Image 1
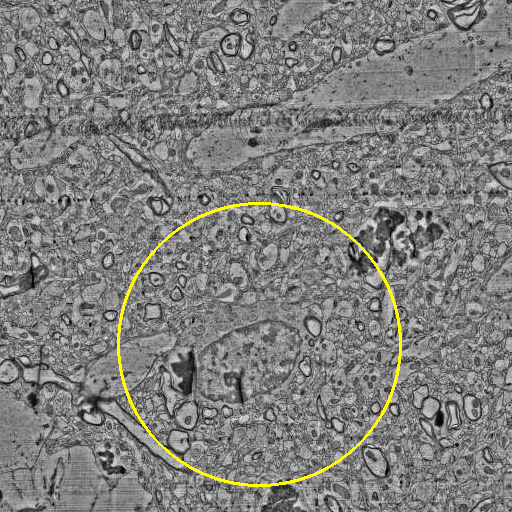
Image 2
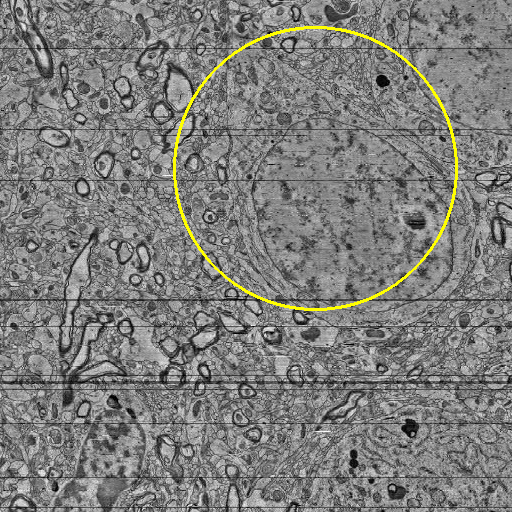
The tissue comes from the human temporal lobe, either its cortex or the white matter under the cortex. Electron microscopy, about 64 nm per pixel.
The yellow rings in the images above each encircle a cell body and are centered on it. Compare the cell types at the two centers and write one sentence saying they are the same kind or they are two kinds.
Taken together, the two cells at the ring centers are two kinds.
